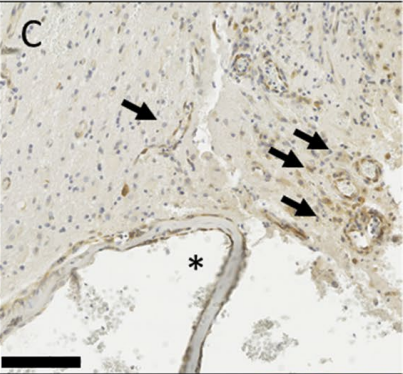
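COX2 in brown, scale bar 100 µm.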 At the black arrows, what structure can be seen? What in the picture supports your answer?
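Their walls carry brown stain. So: vessels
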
